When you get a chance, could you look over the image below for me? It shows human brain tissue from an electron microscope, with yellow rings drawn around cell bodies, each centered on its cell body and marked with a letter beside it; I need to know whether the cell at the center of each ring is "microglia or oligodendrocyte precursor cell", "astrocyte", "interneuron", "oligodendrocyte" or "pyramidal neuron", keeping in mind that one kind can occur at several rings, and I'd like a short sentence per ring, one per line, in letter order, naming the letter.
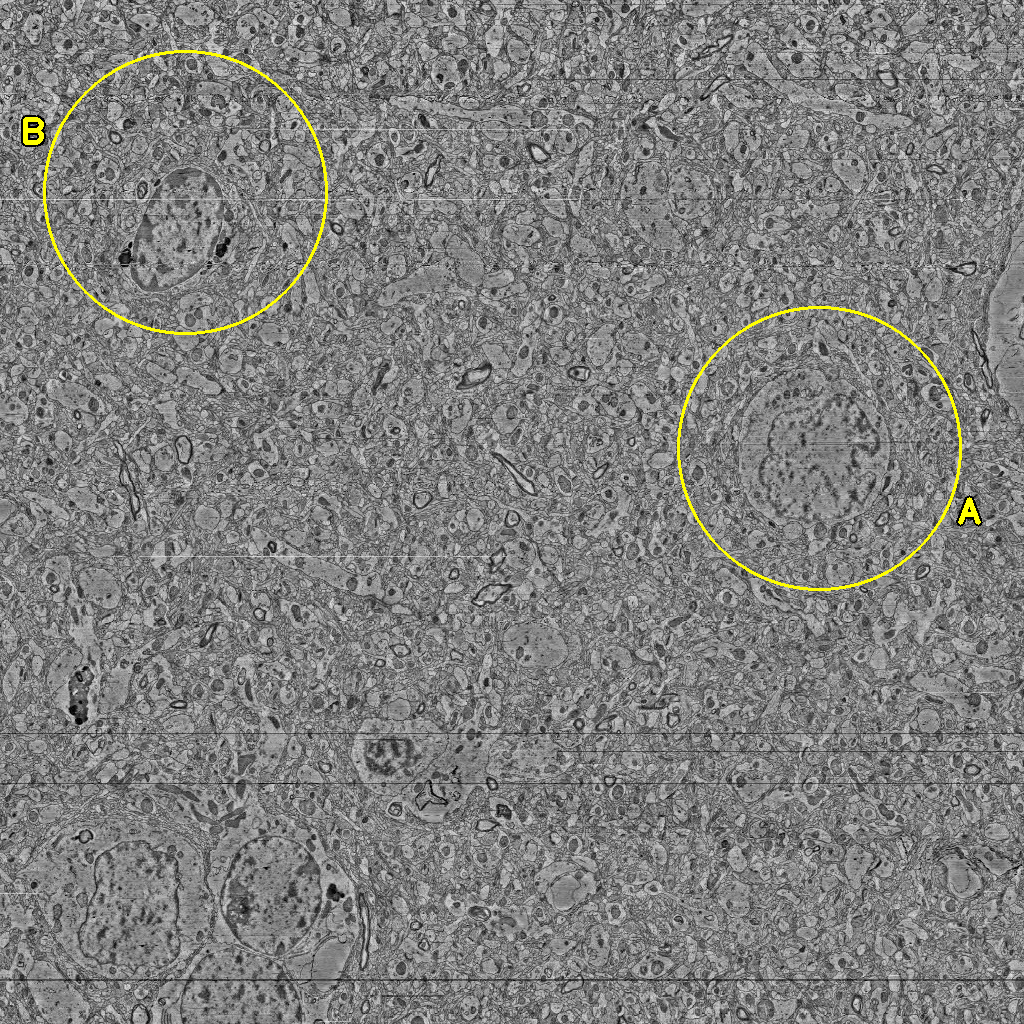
Ring A is centered on an interneuron.
Ring B is centered on a microglial cell or oligodendrocyte precursor cell.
